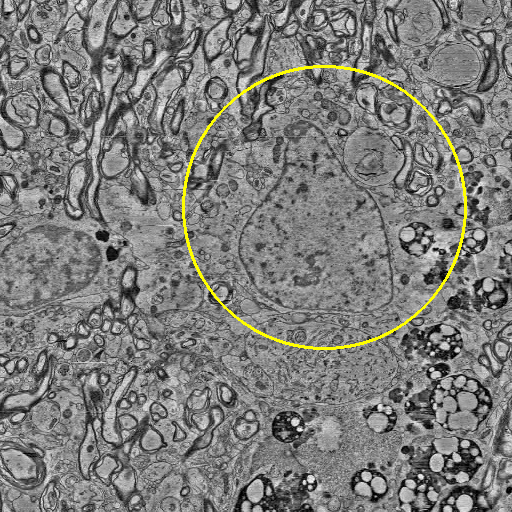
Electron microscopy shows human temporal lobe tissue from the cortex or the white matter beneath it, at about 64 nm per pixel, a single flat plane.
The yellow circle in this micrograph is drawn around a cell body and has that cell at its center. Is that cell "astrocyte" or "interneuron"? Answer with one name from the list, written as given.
astrocyte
